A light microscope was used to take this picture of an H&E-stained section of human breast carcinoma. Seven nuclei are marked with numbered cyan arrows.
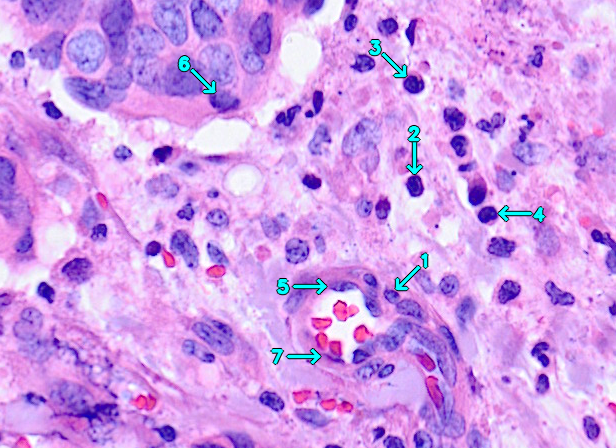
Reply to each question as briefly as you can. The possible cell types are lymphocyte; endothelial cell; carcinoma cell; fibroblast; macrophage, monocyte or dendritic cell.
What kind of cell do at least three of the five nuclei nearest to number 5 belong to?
endothelial cell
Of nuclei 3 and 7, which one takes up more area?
3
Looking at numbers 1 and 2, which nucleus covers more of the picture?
2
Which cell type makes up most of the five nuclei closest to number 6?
carcinoma cell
